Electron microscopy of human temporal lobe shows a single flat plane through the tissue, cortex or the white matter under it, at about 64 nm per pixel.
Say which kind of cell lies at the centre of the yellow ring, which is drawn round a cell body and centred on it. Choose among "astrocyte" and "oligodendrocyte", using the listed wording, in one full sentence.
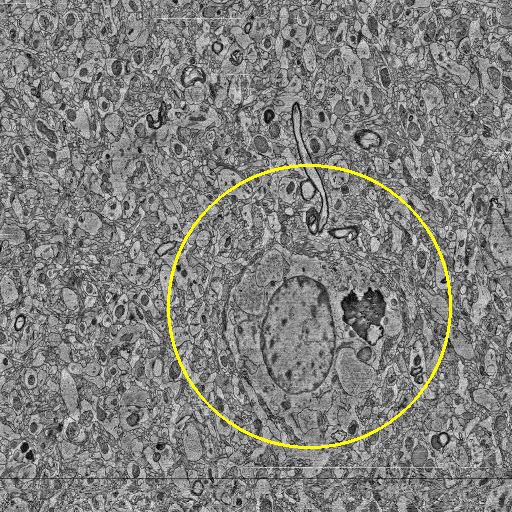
Going by the list, the cell at the yellow ring's centre is an astrocyte.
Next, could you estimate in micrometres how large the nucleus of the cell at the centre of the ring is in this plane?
At approximately 8 by 5 micrometres, the nucleus is clearly longer than it is wide in this plane.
